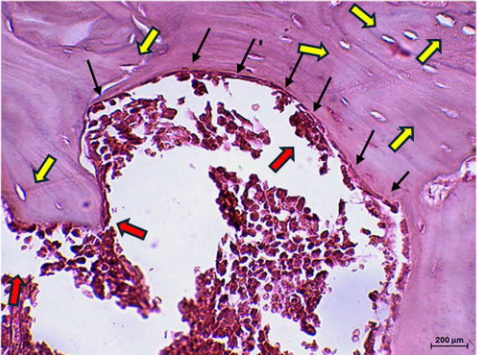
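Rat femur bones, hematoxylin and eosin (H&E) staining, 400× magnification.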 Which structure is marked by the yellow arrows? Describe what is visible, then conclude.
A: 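The yellow arrows point to small elongated clear spaces within the pink bone matrix. These spaces hold no visible nucleus. That points to this answer: empty lacunae.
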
